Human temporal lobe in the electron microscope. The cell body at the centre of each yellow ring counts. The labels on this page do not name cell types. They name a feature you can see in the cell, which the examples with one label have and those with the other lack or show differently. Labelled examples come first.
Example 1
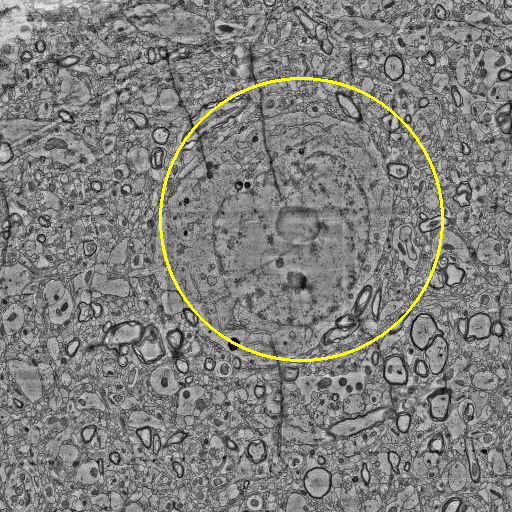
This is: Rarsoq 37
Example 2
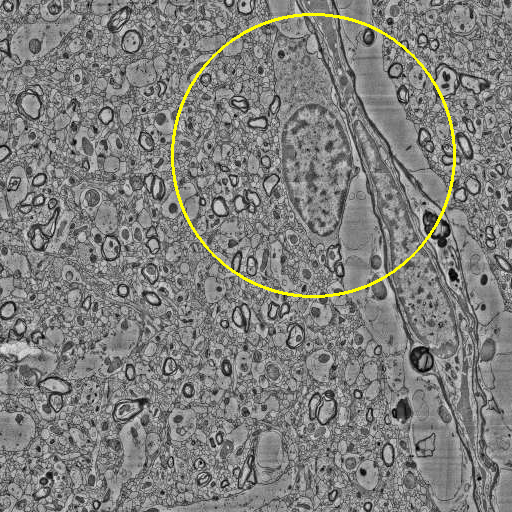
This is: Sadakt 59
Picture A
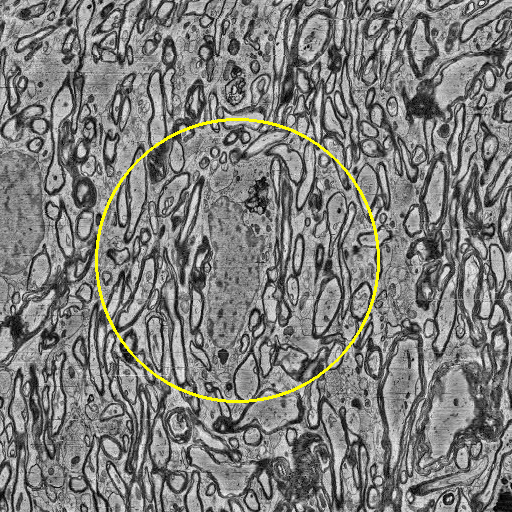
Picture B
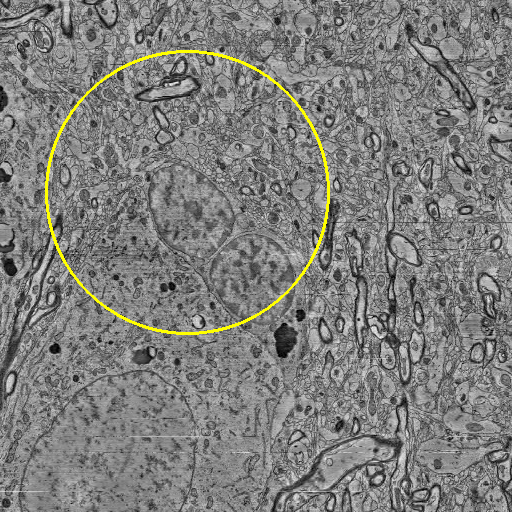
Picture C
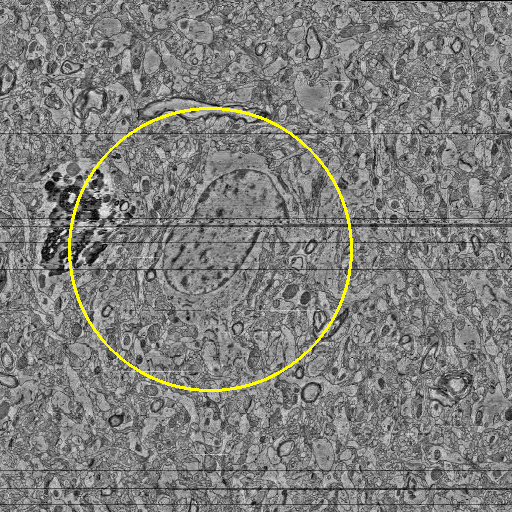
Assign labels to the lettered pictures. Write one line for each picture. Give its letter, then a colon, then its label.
A: Sadakt 59
B: Sadakt 59
C: Sadakt 59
